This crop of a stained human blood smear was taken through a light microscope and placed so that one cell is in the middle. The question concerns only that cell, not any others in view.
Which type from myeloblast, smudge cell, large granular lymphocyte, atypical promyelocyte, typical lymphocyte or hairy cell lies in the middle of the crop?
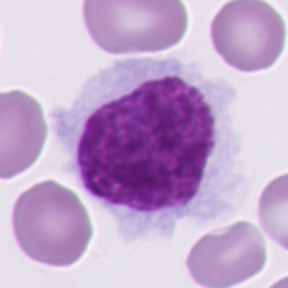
hairy cell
